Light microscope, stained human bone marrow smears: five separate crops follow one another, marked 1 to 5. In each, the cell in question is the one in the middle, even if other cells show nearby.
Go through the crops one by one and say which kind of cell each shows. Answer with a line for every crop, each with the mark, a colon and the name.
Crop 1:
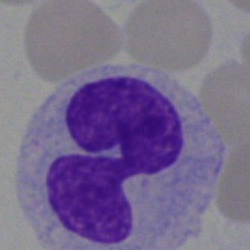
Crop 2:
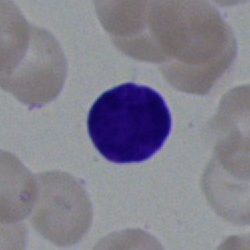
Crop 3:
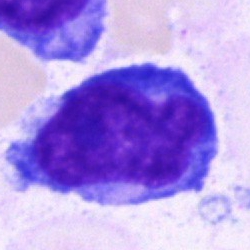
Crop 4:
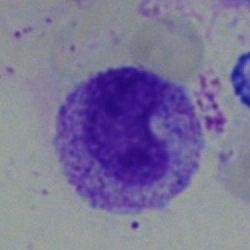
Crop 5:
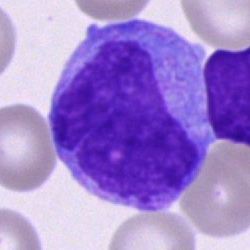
1: monocyte
2: lymphocyte
3: blast
4: metamyelocyte
5: monocyte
